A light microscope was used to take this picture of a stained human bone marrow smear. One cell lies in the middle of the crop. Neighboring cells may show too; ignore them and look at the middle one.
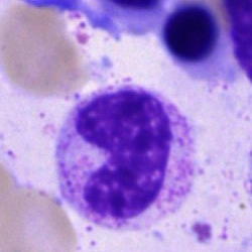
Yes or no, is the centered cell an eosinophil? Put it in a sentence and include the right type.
No, the cell at the centre is categorised not as an eosinophil but as a metamyelocyte.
